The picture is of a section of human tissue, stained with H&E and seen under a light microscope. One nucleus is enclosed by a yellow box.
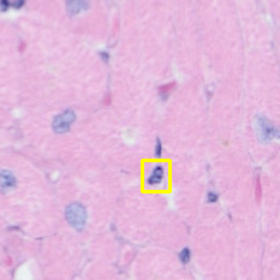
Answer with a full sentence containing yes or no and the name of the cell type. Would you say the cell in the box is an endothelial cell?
Yes, the cell in the box is an endothelial cell by cell type.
